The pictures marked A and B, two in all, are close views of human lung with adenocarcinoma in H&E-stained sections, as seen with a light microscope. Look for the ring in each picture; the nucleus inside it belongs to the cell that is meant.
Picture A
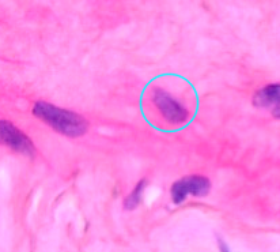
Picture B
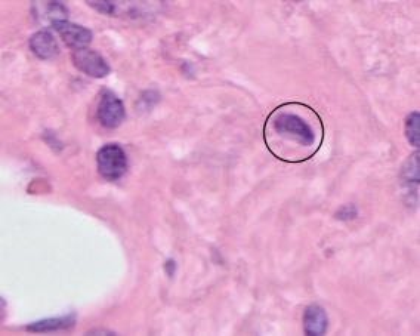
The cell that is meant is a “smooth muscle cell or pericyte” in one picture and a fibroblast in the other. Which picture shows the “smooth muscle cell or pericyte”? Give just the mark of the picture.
A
